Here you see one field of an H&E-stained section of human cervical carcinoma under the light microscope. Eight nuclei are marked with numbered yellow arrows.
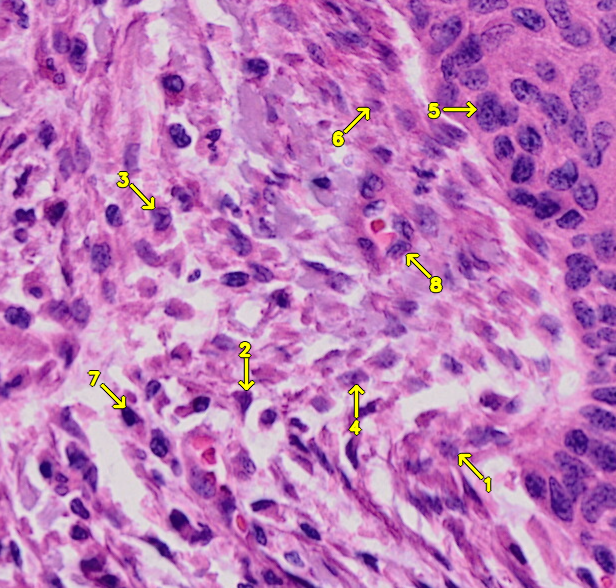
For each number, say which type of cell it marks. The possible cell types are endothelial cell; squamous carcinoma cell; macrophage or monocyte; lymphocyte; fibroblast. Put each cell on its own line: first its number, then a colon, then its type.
1: fibroblast
2: fibroblast
3: macrophage or monocyte
4: fibroblast
5: squamous carcinoma cell
6: fibroblast
7: lymphocyte
8: endothelial cell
